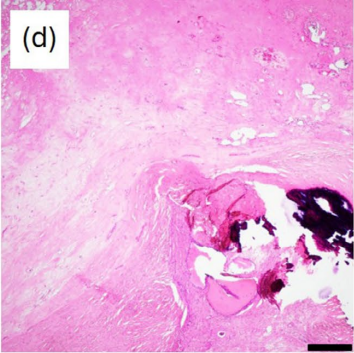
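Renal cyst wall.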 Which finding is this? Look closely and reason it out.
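Irregular deep purple-black deposits with cracked, brittle edges. Deposits lie within pale pink fibrous tissue.
Conclusion: Calcification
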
